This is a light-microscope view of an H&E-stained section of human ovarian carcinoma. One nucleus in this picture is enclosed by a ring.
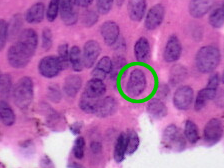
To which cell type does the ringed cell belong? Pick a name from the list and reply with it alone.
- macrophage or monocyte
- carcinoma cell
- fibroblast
carcinoma cell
